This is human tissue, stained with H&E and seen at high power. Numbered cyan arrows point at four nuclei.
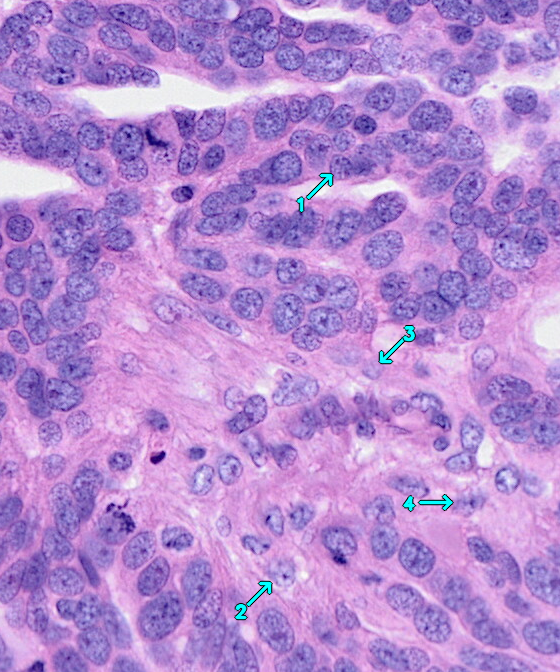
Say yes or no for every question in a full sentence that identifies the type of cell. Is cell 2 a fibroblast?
Yes, for number 2, the cell is a fibroblast.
